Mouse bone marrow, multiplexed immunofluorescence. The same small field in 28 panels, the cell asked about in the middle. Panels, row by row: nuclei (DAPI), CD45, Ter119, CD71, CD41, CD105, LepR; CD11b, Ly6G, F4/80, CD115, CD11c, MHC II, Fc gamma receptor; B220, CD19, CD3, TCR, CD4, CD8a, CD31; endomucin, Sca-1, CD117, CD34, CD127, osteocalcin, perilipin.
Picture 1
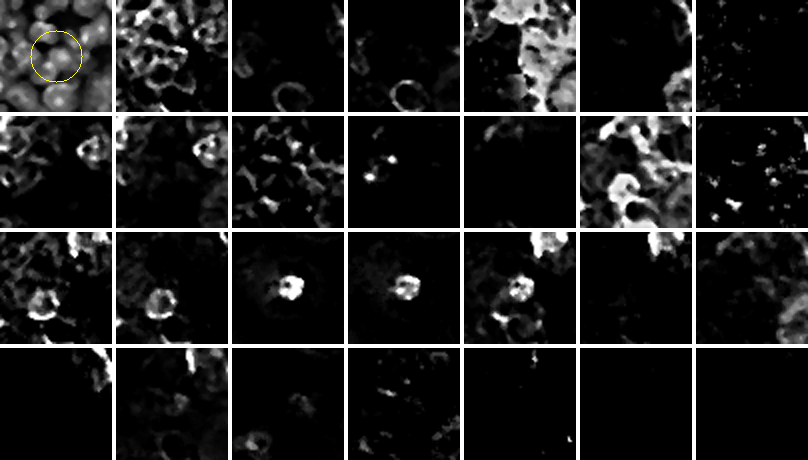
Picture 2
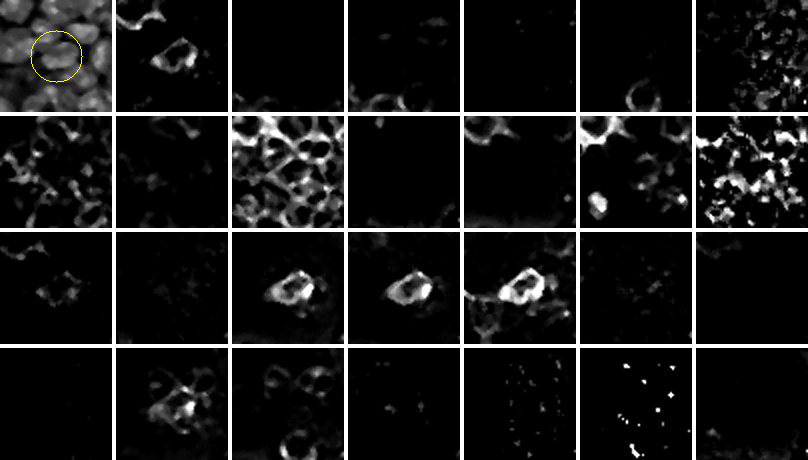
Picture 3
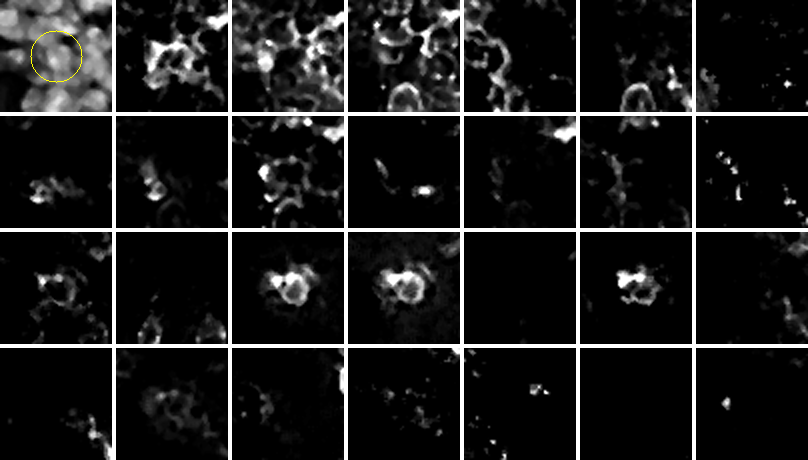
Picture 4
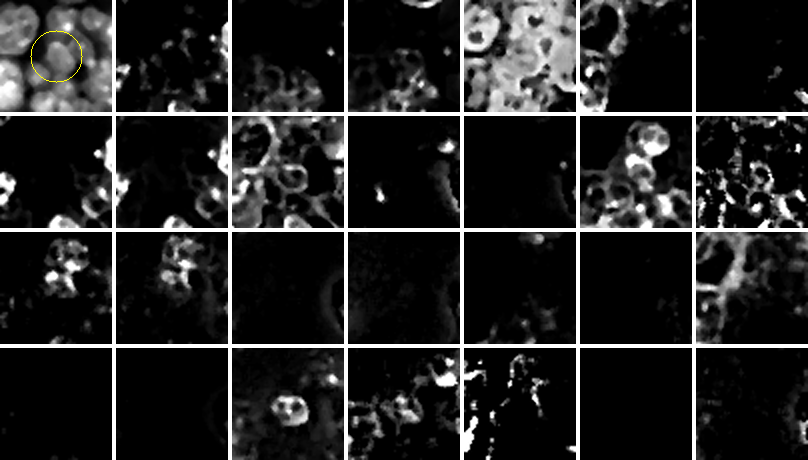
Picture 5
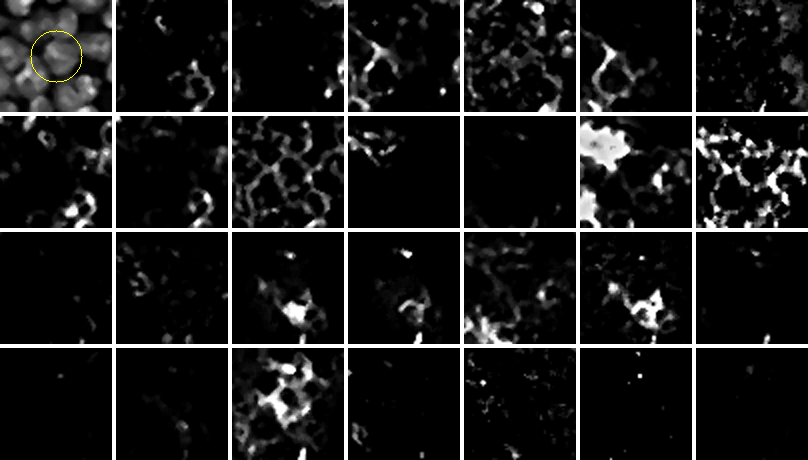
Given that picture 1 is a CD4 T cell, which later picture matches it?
2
